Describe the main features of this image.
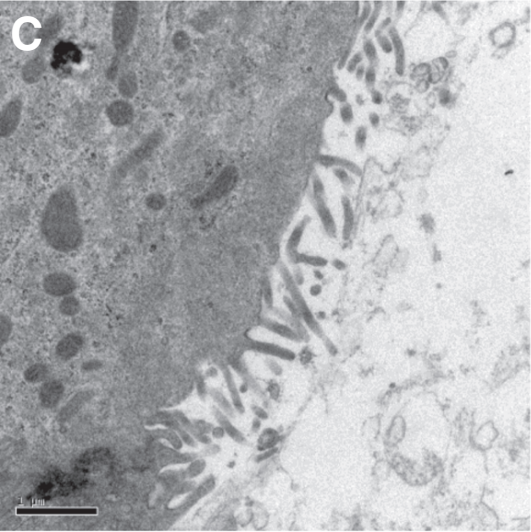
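The surface bears many slender, finger-like microvilli, cut lengthwise as rods and across as small circles, projecting into the space. The cytoplasm beneath is granular and holds numerous oval and elongated grey mitochondria, and near the upper left a small dark granular body. Beyond the microvilli the space contains faint wispy material and a few membrane-bound fragments.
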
